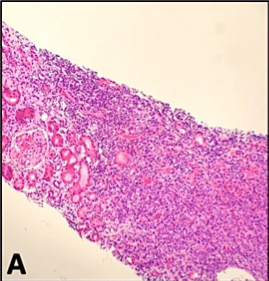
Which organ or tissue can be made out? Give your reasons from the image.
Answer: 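Renal parenchyma. A glomerulus is visible at the left. Renal tubules with pink cytoplasm lie at the left. A dense cellular infiltrate fills much of the core.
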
